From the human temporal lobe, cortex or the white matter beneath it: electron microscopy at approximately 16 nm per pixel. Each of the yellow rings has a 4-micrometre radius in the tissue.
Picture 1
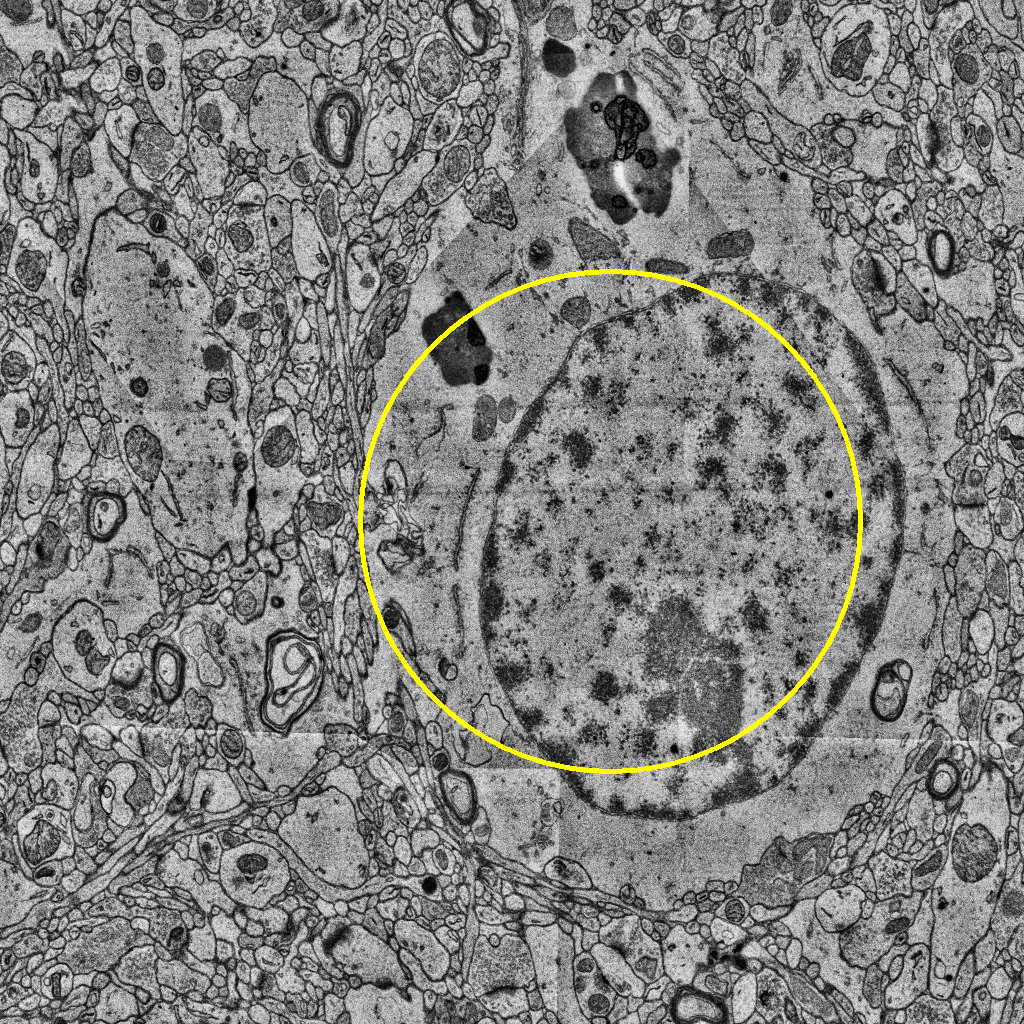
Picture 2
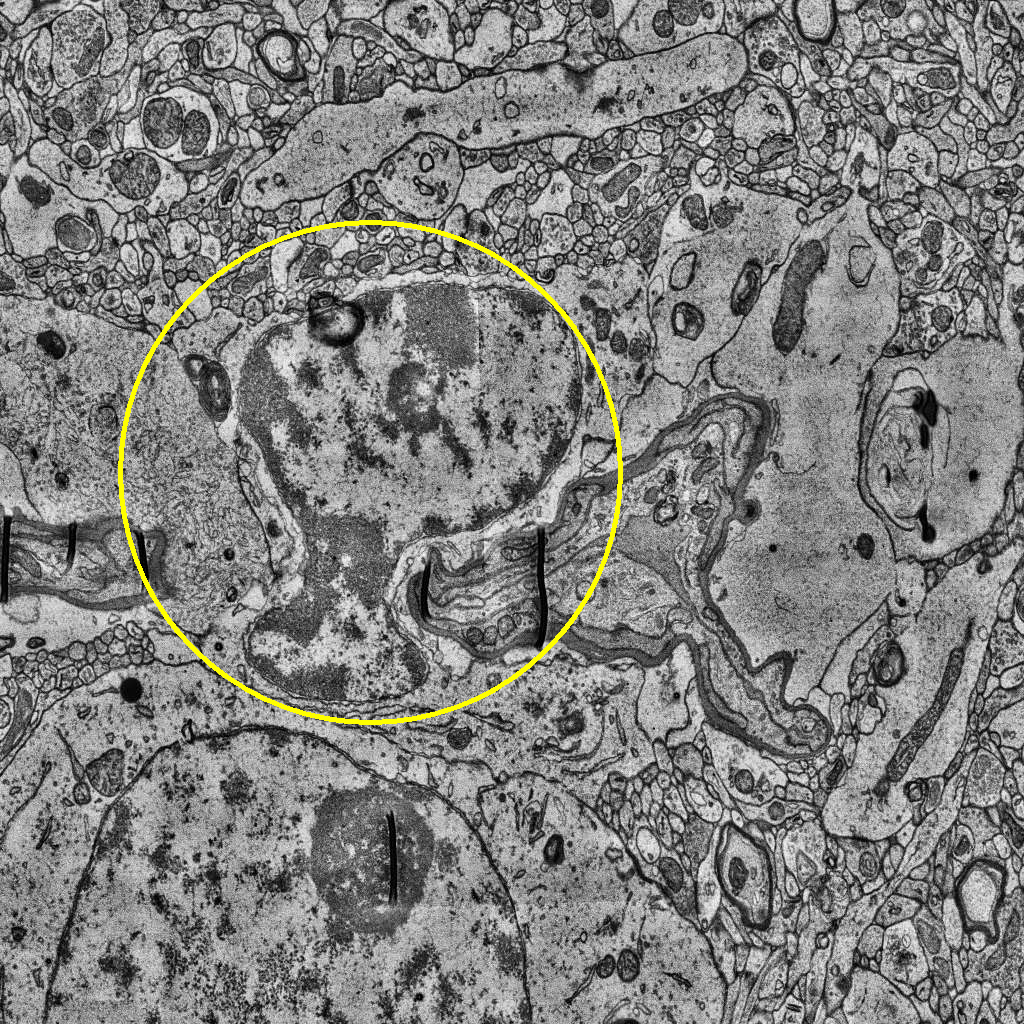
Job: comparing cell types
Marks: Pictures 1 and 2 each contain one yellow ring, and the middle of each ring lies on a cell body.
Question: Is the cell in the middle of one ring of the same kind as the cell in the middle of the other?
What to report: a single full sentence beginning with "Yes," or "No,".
No, the cell at the ring centre in Picture 1 and its partner in Picture 2 are of two kinds.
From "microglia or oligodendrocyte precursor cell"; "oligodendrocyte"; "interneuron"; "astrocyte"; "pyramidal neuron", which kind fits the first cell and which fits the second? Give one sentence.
The second cell is a microglial cell or oligodendrocyte precursor cell, and the first cell is an astrocyte.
